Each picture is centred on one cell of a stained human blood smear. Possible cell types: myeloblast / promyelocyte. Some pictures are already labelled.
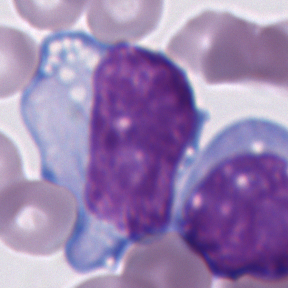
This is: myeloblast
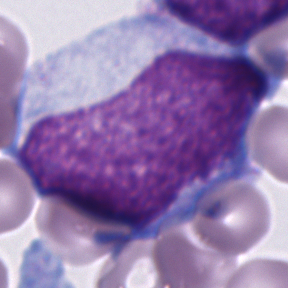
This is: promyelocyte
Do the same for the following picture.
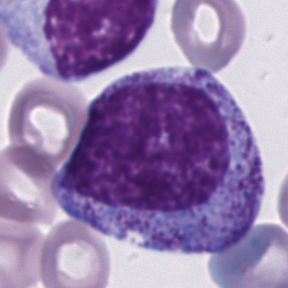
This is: promyelocyte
